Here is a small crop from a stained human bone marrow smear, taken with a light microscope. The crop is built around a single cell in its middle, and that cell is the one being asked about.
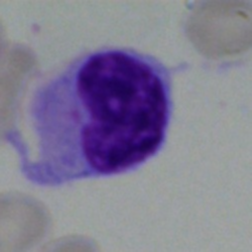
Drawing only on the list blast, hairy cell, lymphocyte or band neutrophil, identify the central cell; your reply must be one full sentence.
This crop is built around a hairy cell at its centre.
